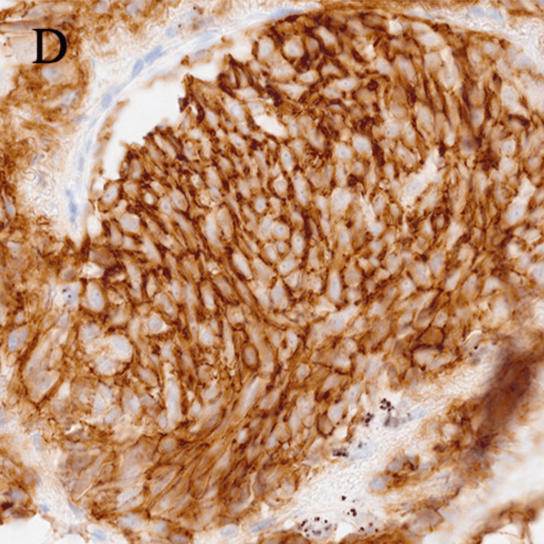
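A nest of tumor cells in which nearly every cell shows strong brown staining outlining its membrane, giving a honeycomb-like network of brown borders around pale centres with blue counterstained nuclei. The cells are closely packed and somewhat elongated, running in streams. The nest is bordered by a thin rim of pale stroma, and a further stained cell group lies at the lower right edge. Small dark pigment granules lie near the lower part of the field.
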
